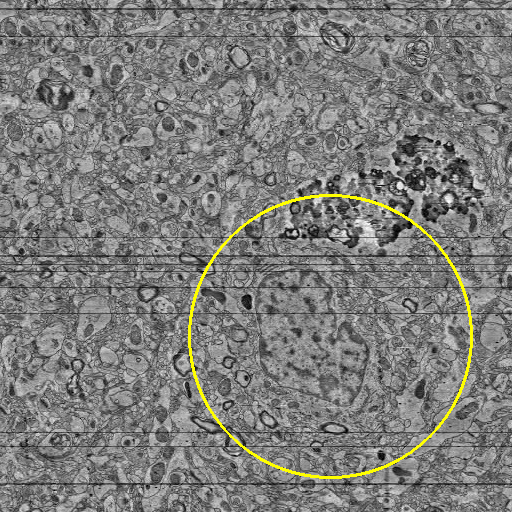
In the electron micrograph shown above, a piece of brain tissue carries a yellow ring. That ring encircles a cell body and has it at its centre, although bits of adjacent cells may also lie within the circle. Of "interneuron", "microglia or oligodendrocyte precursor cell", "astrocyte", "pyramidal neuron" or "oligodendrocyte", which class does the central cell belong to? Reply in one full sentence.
The cell body at the centre of the yellow ring belongs to a microglial cell or oligodendrocyte precursor cell.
